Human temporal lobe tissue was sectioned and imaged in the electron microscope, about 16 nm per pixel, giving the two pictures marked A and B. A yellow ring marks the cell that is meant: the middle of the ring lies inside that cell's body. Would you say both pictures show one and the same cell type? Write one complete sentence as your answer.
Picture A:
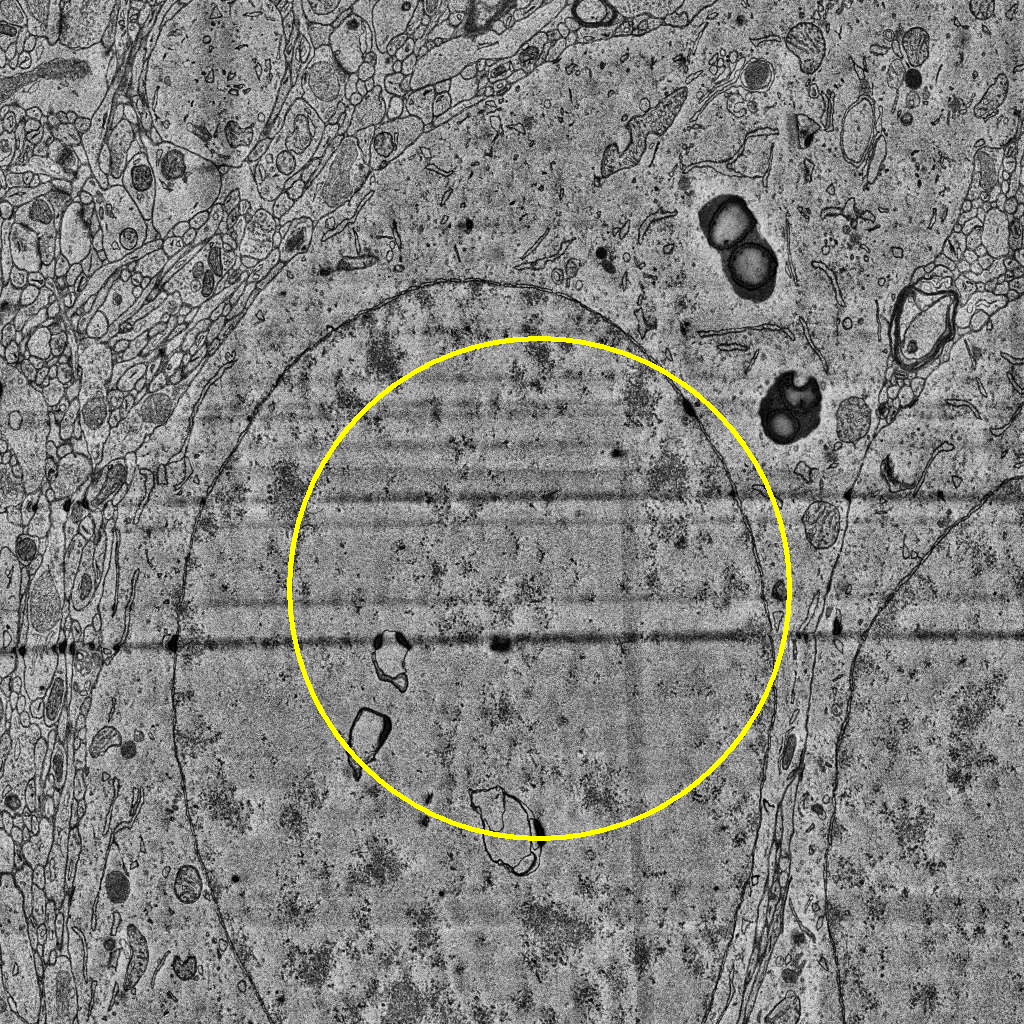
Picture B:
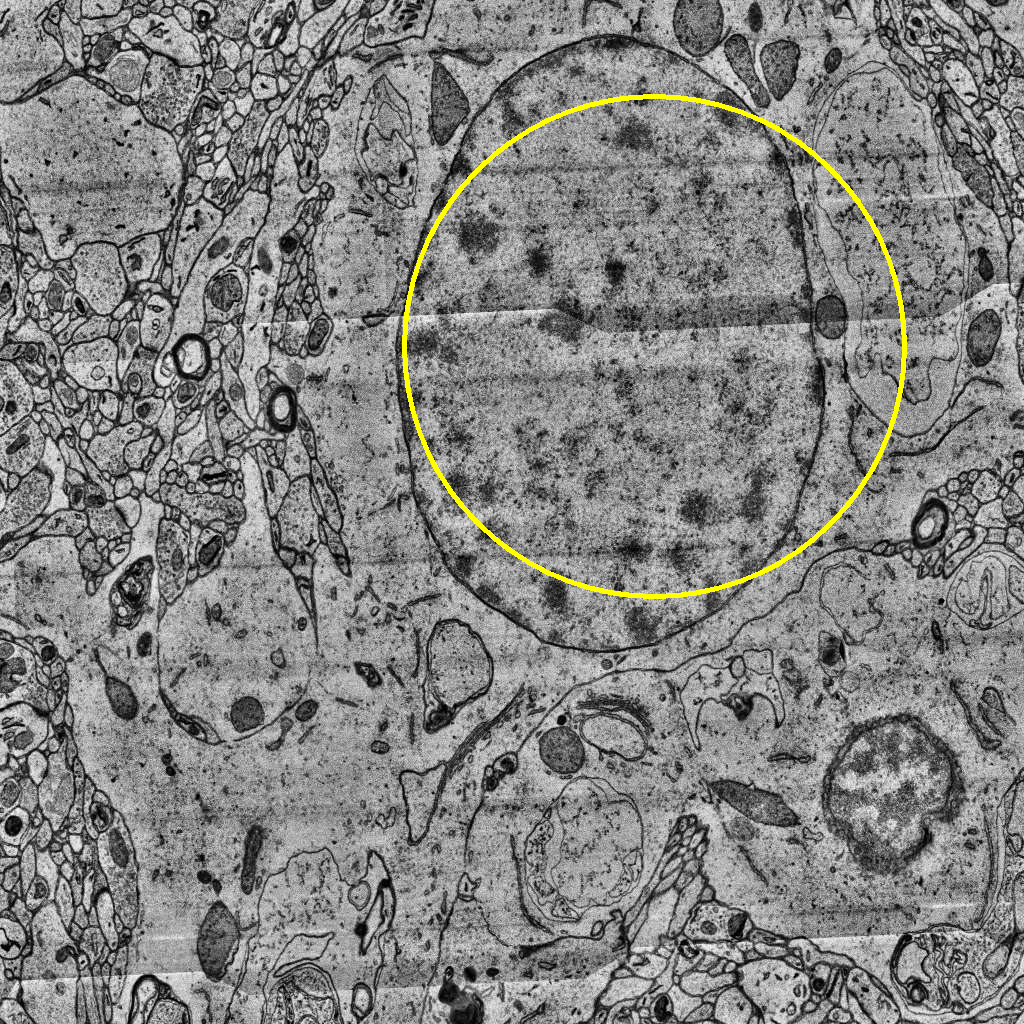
No, they differ: the cell is a pyramidal neuron in picture A and an astrocyte in picture B.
